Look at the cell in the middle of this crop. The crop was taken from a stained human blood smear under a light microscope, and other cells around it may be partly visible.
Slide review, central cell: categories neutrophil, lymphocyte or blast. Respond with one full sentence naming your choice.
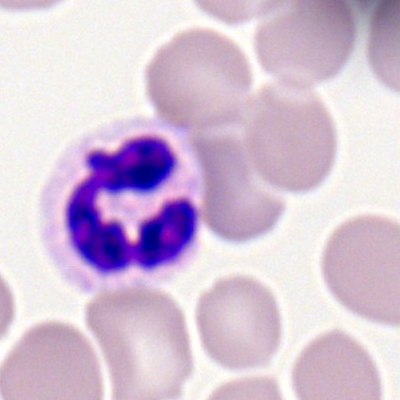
The cell marked by its central position in the crop is a neutrophil.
